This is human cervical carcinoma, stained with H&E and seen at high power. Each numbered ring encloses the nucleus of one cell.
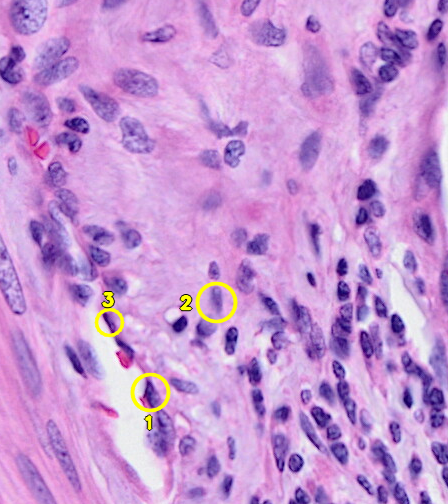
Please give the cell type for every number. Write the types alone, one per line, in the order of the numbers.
endothelial cell
fibroblast
endothelial cell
